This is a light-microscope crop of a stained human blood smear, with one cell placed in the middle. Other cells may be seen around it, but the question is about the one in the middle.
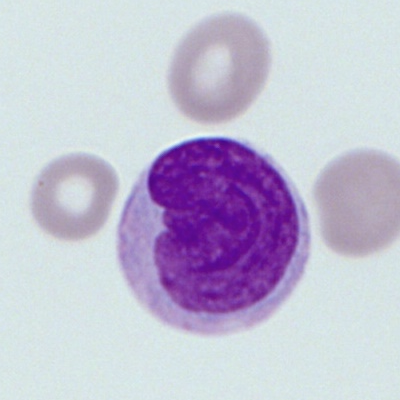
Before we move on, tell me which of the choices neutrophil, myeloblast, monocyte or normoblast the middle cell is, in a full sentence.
The cell at the central position in this crop is a myeloblast.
